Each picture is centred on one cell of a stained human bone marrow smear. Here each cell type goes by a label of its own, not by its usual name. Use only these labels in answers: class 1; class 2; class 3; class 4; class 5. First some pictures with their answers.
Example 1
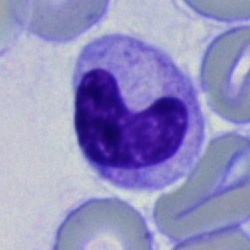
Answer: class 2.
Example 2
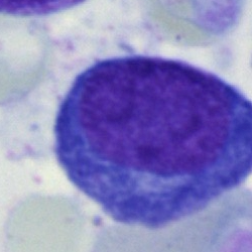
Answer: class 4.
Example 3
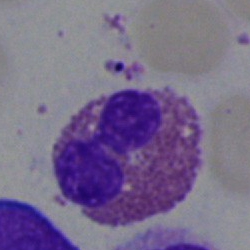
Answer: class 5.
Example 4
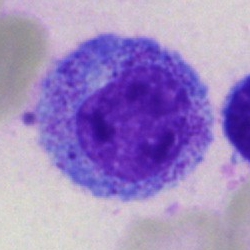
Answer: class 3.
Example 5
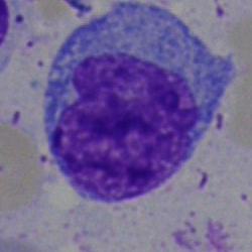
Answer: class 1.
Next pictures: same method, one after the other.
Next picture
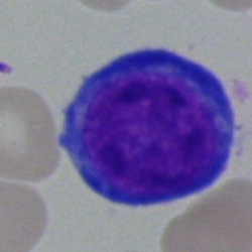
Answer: class 4.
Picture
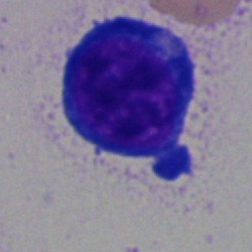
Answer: class 4.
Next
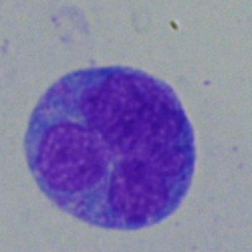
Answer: class 1.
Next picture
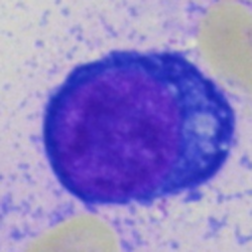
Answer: class 4.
